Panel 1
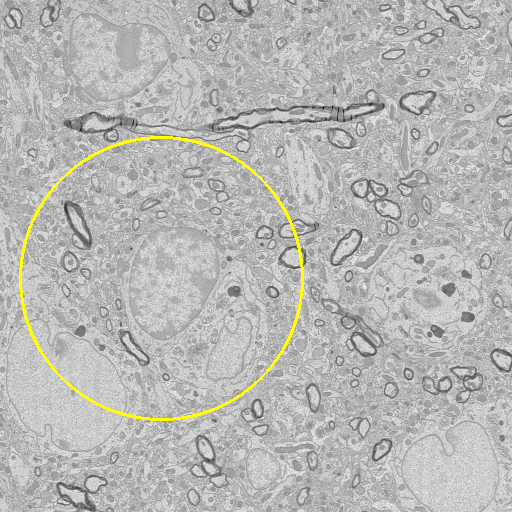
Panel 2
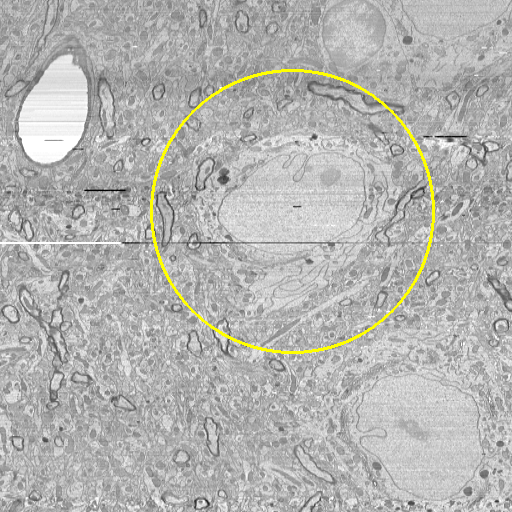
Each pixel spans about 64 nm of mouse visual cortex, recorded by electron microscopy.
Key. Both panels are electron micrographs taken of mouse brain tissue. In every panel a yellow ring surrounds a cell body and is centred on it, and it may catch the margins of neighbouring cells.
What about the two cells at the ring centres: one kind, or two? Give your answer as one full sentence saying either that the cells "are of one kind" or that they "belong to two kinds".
Across Panels 1 and 2, the two cells at the ring centres belong to two kinds.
